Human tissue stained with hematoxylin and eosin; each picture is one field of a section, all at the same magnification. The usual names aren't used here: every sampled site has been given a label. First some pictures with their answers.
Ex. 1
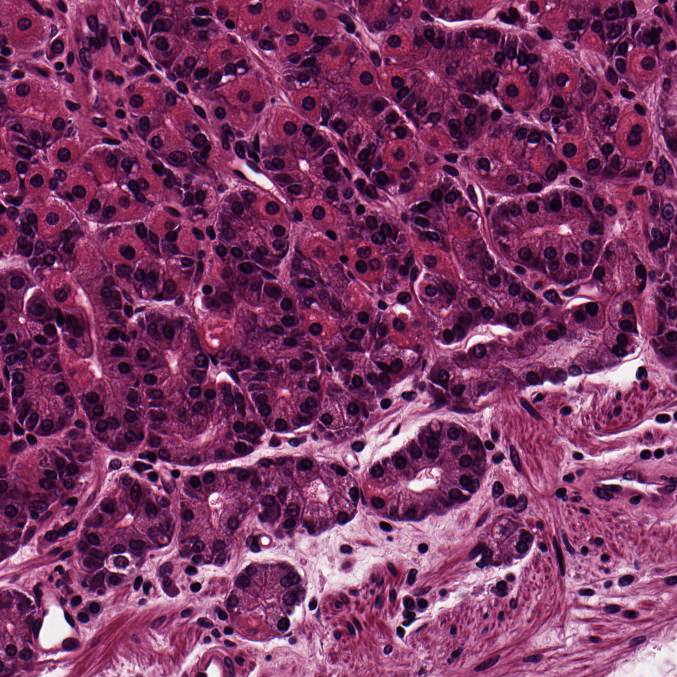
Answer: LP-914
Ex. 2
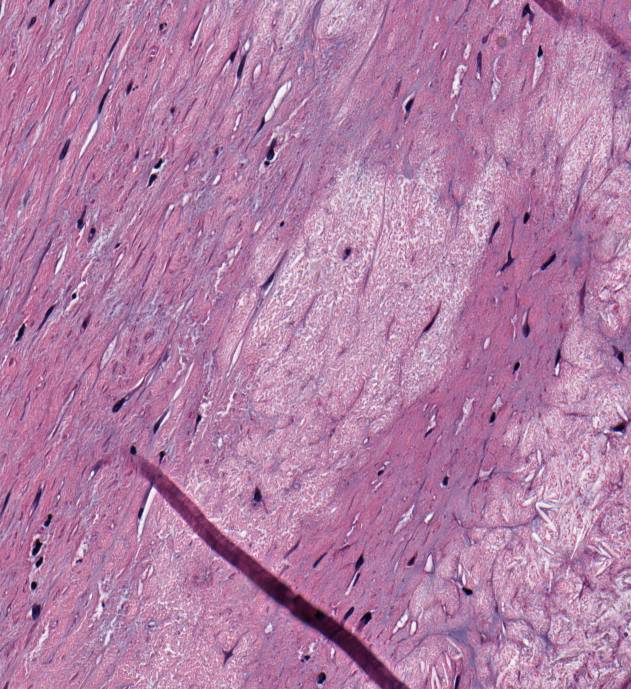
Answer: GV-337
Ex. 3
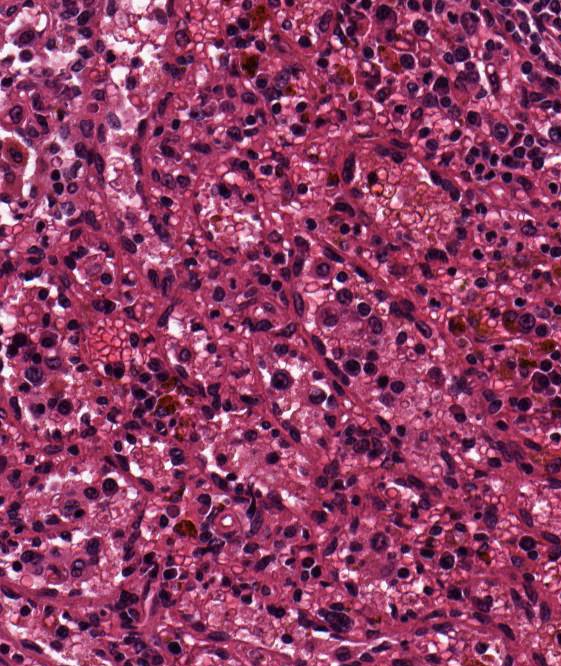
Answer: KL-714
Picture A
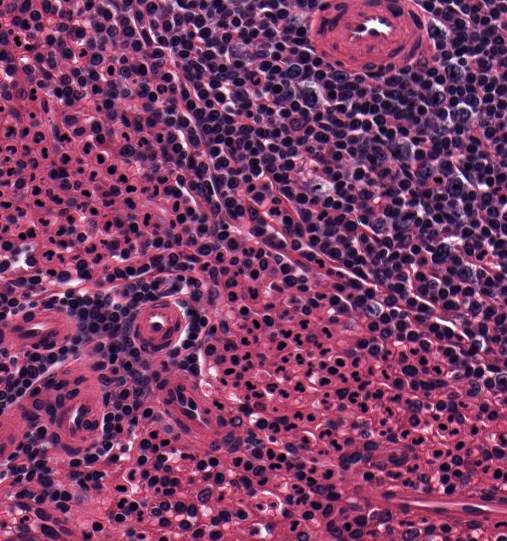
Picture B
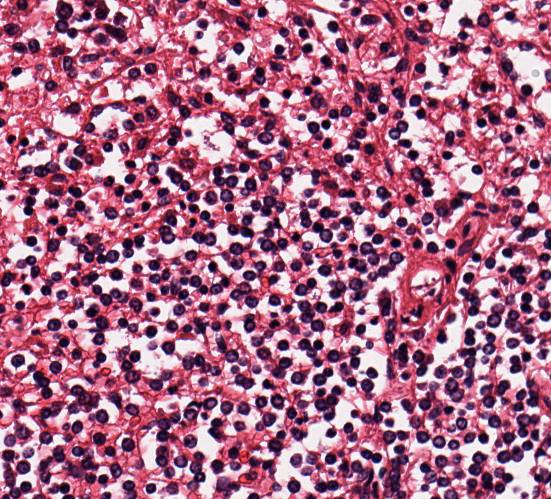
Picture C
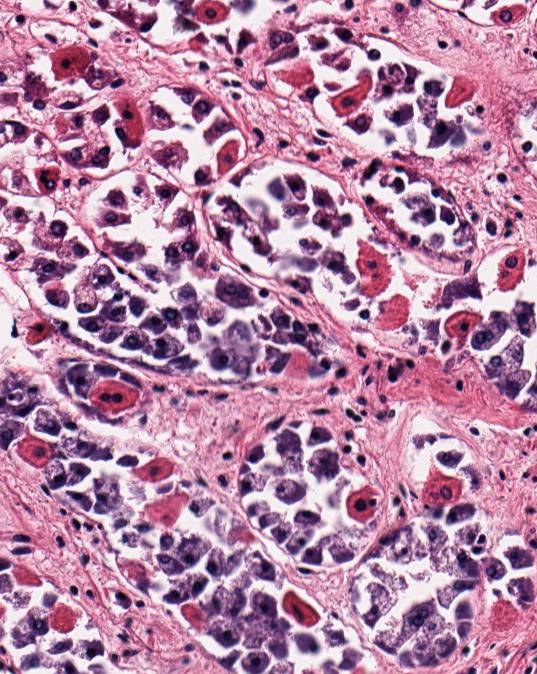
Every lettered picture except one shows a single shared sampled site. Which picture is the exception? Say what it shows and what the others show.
Exception: C, showing LP-914. Remaining pictures: KL-714.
